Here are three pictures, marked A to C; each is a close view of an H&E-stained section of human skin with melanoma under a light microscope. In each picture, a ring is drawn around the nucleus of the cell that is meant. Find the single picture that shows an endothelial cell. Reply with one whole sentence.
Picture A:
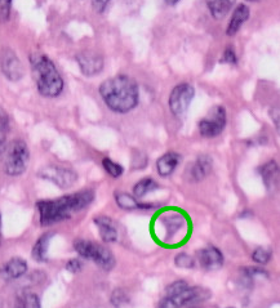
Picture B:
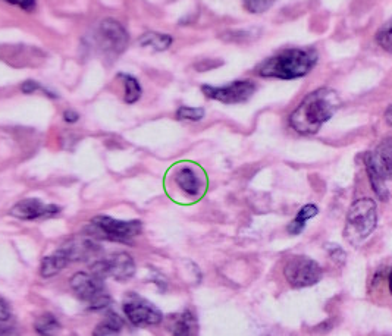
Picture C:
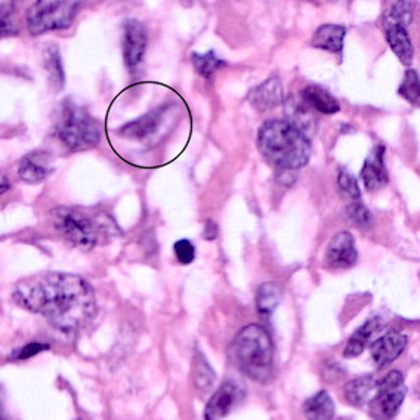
Picture A is the one that shows the endothelial cell.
